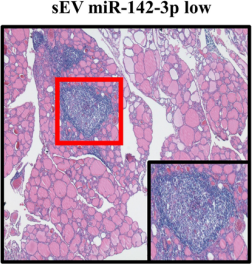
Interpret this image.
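Thyroid tissue is seen at low magnification, made up mostly of many round follicles of varying size filled with pink colloid. Elsewhere the follicles lie close together with little cellular tissue between them, so the lymphocyte infiltration here is limited.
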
